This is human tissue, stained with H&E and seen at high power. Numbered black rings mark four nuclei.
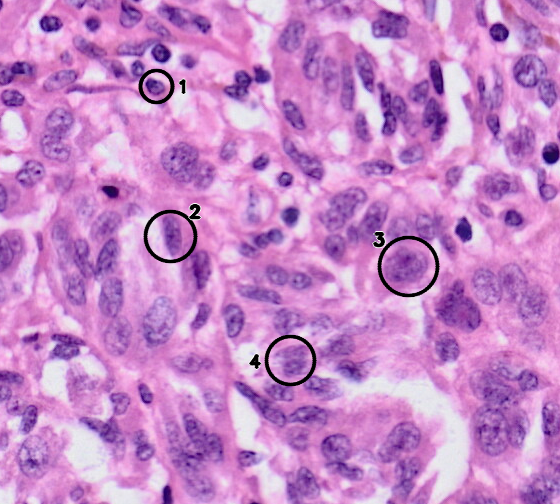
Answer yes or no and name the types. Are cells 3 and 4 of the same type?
Yes, cells 3 and 4 have the same identity; both are melanoma cells.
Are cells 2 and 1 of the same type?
No, hold on, cell 2 is a melanoma cell and cell 1 is a lymphocyte.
